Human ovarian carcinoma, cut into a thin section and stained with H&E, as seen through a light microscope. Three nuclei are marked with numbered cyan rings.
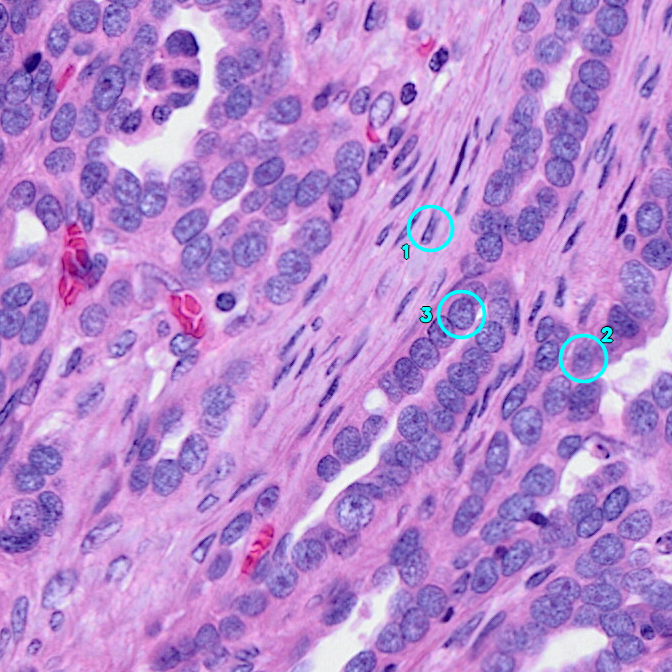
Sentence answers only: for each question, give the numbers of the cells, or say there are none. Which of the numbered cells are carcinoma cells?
In this section, the cells labelled 2 and 3 are carcinoma cells.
